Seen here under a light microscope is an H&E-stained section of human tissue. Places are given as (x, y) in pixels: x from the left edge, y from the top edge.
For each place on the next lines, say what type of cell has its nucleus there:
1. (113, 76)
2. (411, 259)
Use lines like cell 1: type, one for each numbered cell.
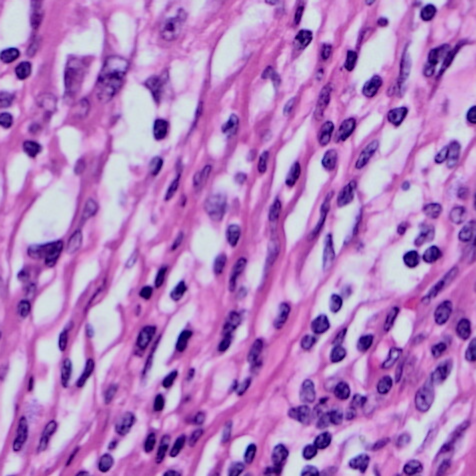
cell 1: melanoma cell
cell 2: lymphocyte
